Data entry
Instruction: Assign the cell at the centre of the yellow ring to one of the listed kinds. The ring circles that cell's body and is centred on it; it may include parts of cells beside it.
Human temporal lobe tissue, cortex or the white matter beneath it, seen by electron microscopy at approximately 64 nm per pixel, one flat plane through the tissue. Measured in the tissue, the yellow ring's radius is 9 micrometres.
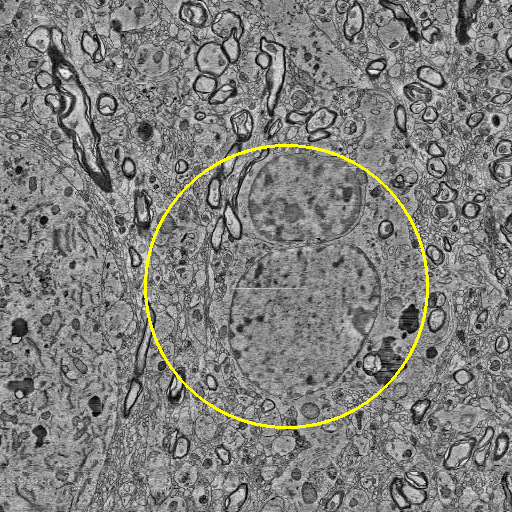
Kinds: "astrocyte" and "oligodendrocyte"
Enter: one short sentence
The centre of the ring falls on an astrocyte.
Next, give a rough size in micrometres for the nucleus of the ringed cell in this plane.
The nucleus works out at approximately 11 by 9 micrometres in this plane.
